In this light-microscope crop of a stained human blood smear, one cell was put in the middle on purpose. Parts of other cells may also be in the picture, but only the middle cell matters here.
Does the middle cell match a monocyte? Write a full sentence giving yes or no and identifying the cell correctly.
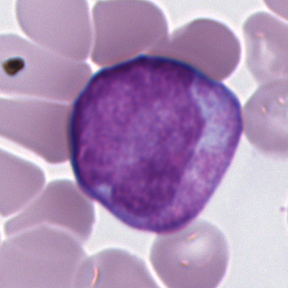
No, the middle one is an atypical promyelocyte rather than a monocyte.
